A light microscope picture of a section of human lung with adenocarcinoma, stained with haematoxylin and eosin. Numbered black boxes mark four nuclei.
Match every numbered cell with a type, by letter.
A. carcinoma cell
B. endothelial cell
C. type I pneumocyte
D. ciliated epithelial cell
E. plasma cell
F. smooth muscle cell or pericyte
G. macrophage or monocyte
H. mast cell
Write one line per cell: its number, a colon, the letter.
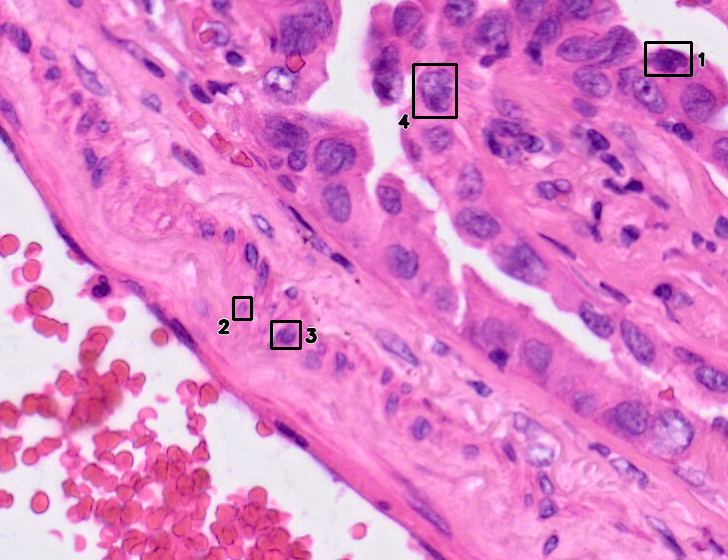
1: A
2: F
3: F
4: A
